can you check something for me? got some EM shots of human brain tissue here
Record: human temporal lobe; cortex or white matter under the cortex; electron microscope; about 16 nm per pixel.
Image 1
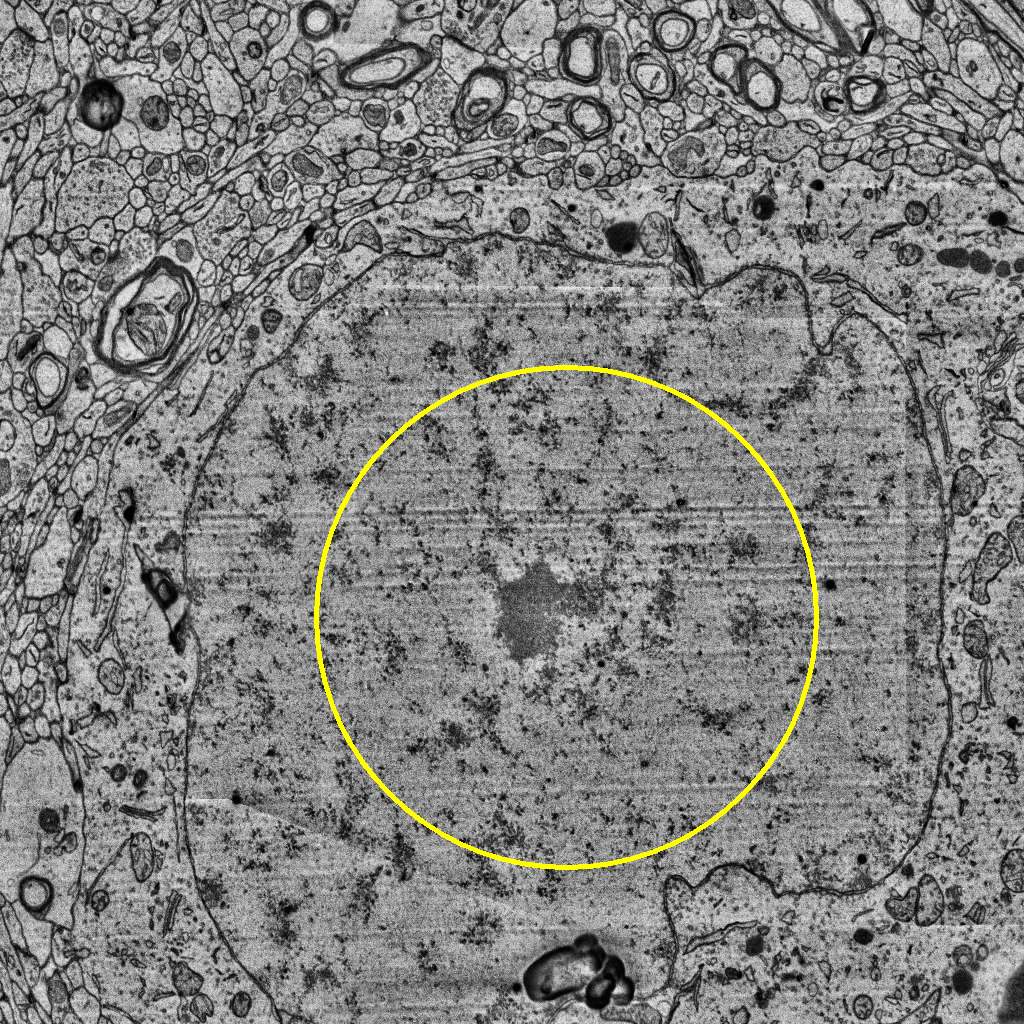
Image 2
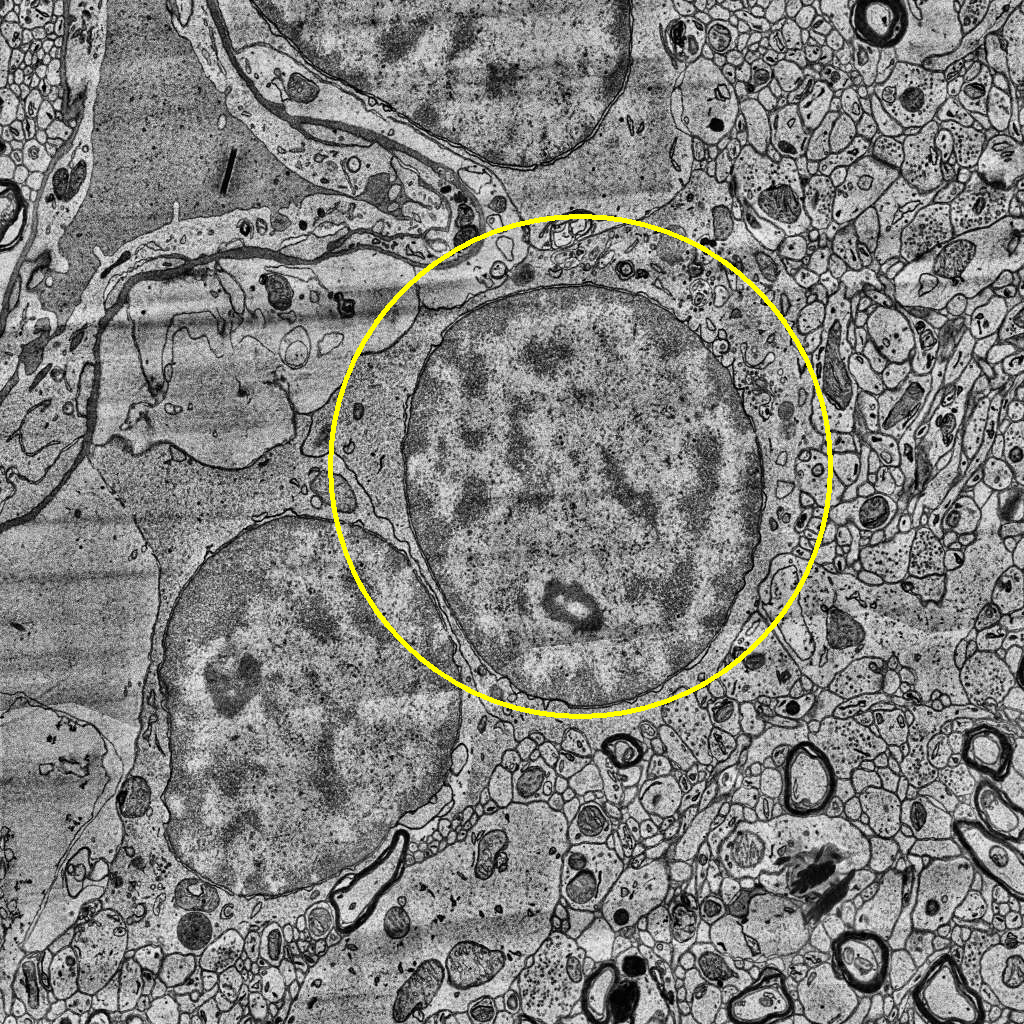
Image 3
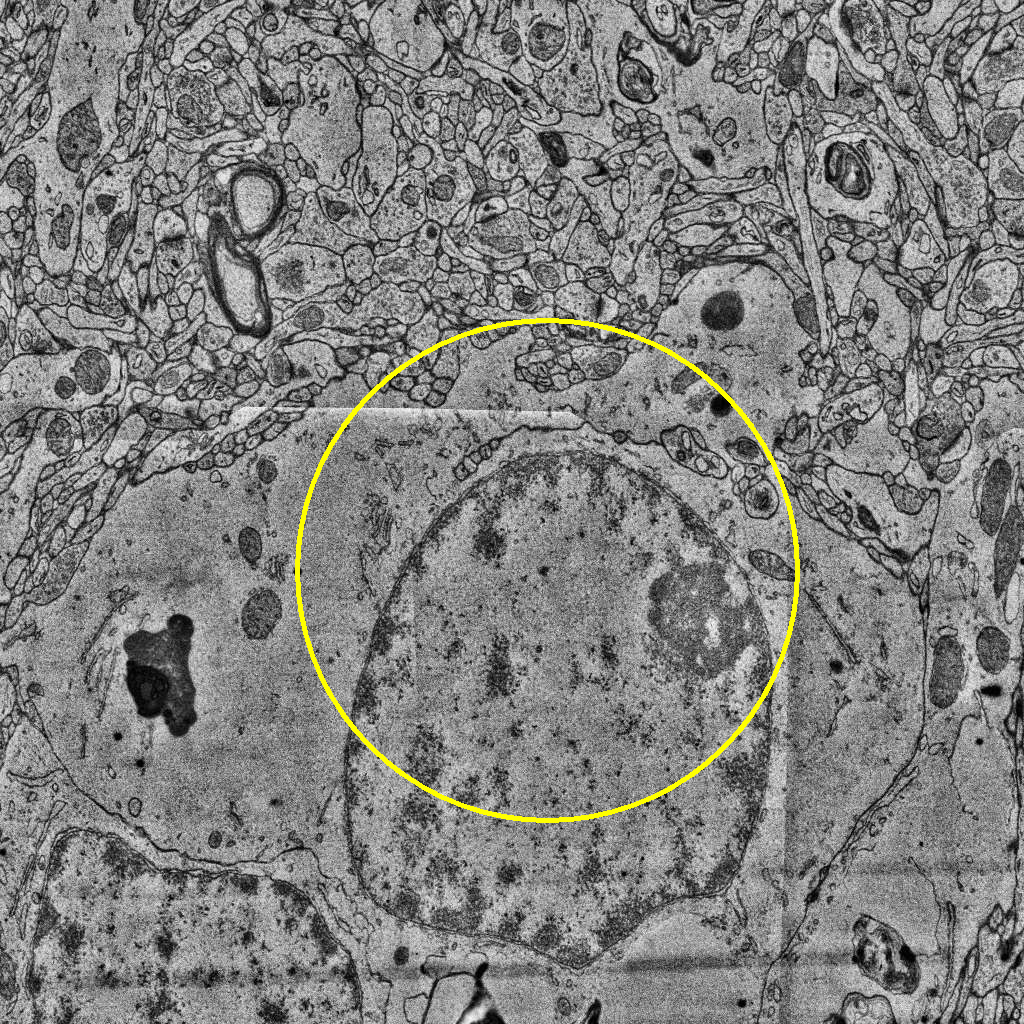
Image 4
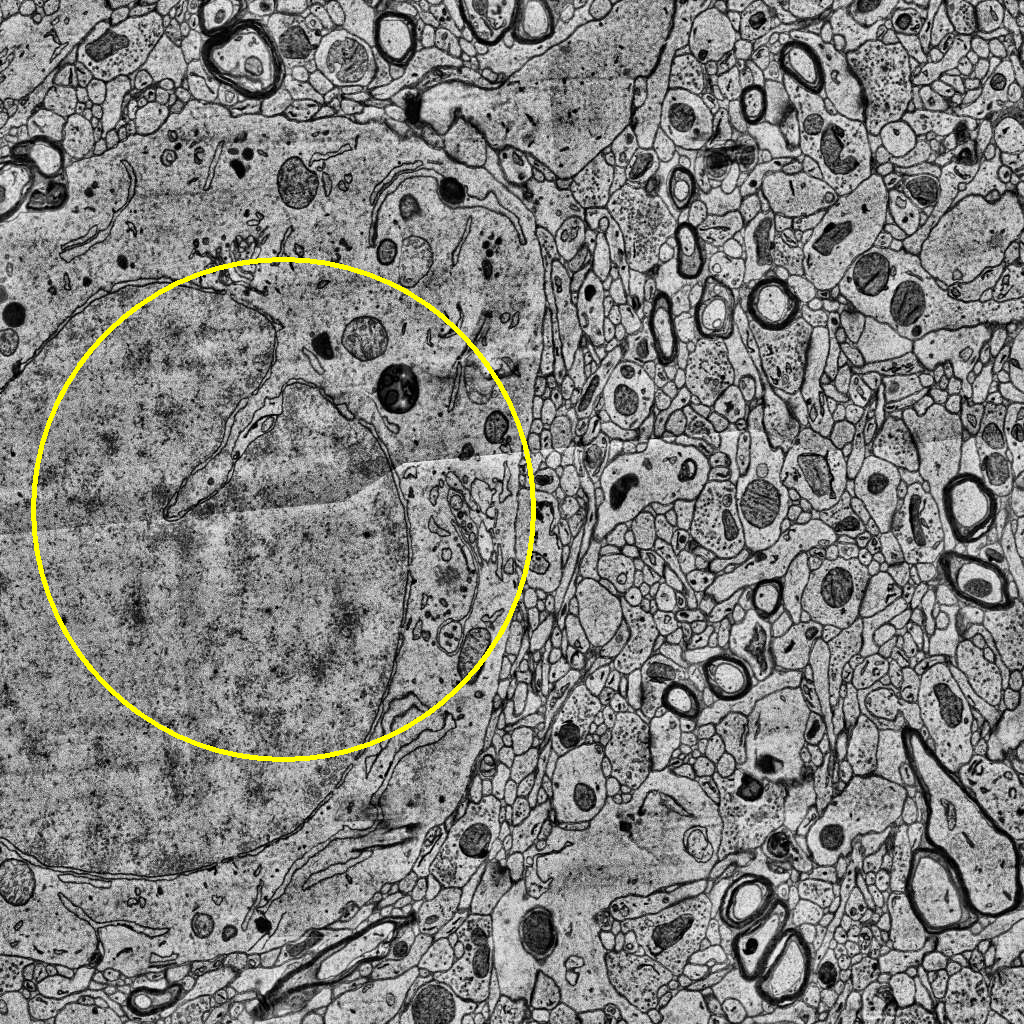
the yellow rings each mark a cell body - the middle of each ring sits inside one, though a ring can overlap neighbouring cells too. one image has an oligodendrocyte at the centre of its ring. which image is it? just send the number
2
